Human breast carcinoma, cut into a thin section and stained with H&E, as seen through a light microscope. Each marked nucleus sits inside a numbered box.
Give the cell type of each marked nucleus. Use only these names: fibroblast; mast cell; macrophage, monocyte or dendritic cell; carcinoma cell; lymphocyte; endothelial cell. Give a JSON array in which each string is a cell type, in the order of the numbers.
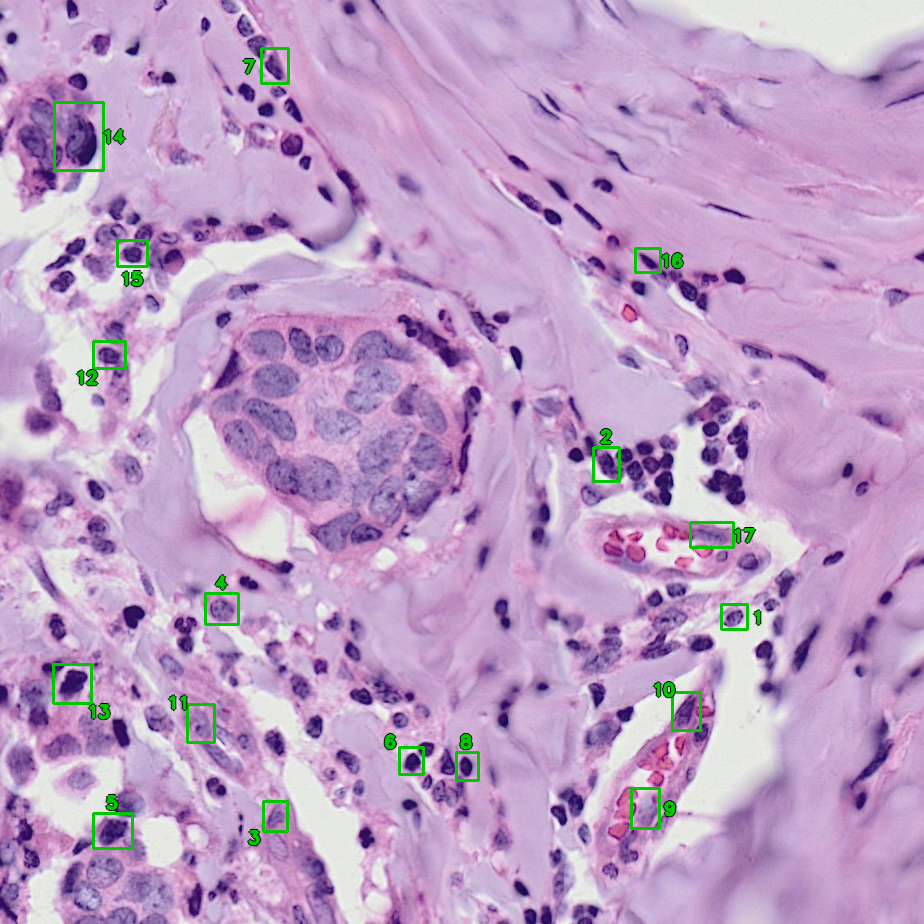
["lymphocyte", "lymphocyte", "endothelial cell", "mast cell", "carcinoma cell", "lymphocyte", "lymphocyte", "lymphocyte", "endothelial cell", "endothelial cell", "endothelial cell", "lymphocyte", "carcinoma cell", "carcinoma cell", "lymphocyte", "lymphocyte", "endothelial cell"]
